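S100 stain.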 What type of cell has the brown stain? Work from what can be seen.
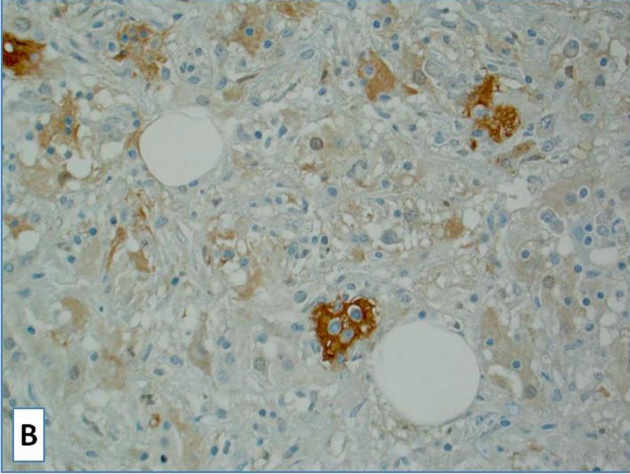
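The brown-stained cells are large with abundant cytoplasm. They are much larger than the surrounding small round unstained cells. On this evidence: large histiocytes.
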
